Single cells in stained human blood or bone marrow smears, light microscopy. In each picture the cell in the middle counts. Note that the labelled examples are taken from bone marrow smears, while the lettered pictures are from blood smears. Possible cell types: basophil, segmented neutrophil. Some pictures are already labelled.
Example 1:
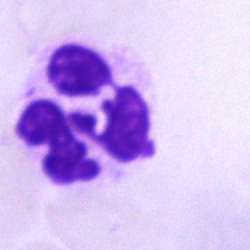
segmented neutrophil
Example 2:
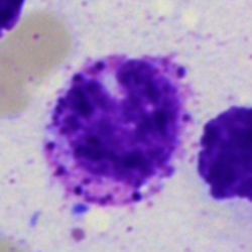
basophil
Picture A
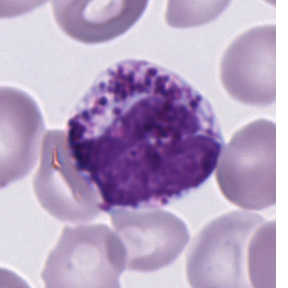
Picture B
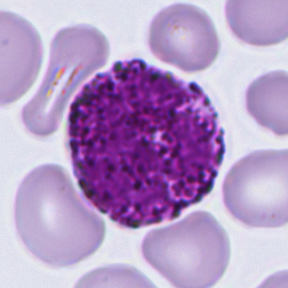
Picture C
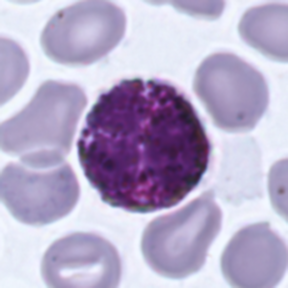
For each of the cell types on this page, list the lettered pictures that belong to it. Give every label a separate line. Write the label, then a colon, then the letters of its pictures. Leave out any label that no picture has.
basophil: A, B, C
